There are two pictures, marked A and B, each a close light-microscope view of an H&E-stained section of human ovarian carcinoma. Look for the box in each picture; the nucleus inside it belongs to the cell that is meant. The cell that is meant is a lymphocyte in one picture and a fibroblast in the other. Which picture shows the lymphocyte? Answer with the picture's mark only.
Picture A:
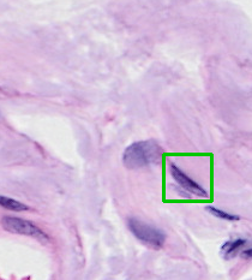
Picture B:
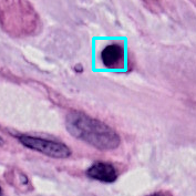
B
